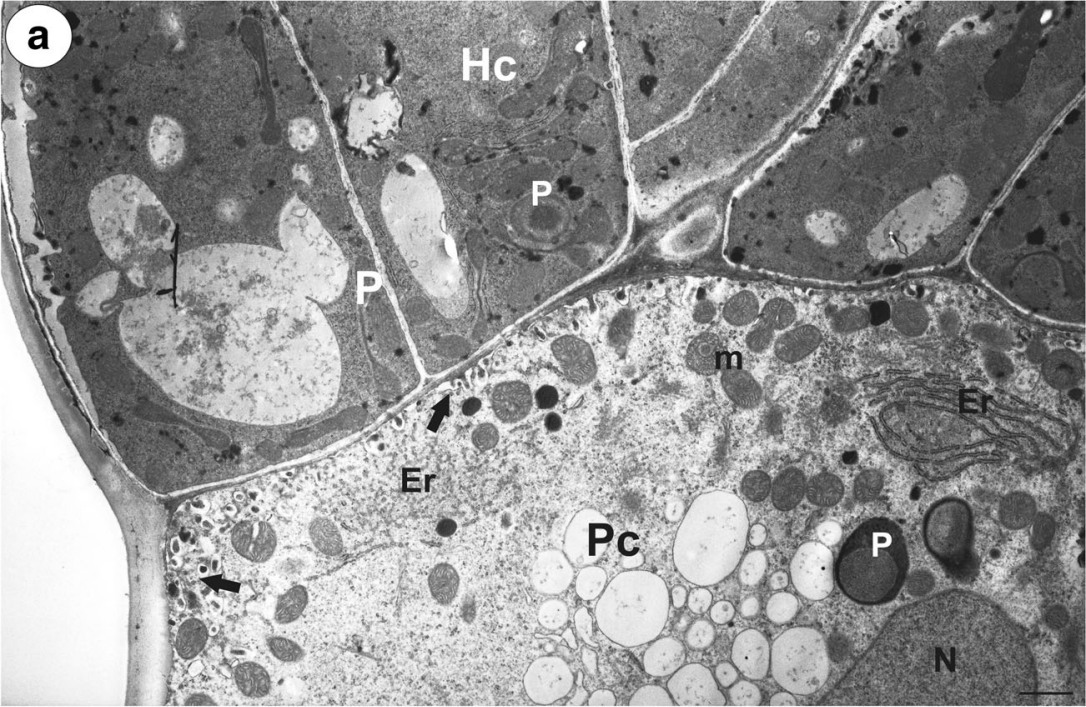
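Below lies a large pale cell with a nucleus, many small round mitochondria, stacked rough endoplasmic reticulum, dark plastids and a cluster of small clear vacuoles, while above it sit several smaller cells with dark, dense cytoplasm and a few large pale vacuoles. Along the wall that separates the pale cell from the dark cells, the pale cell's cytoplasm holds a band of small irregular wall pockets and loops. This is the pedestal cell of a glandular trichome beneath its terminal head cells, and the convoluted band is a well-developed labyrinth wall, typical of a transfer cell.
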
